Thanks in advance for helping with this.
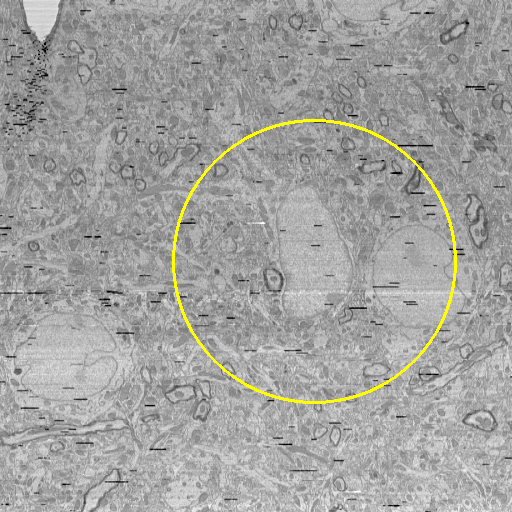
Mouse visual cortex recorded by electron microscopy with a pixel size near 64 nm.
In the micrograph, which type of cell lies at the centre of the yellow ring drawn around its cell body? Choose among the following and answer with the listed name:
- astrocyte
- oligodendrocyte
astrocyte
